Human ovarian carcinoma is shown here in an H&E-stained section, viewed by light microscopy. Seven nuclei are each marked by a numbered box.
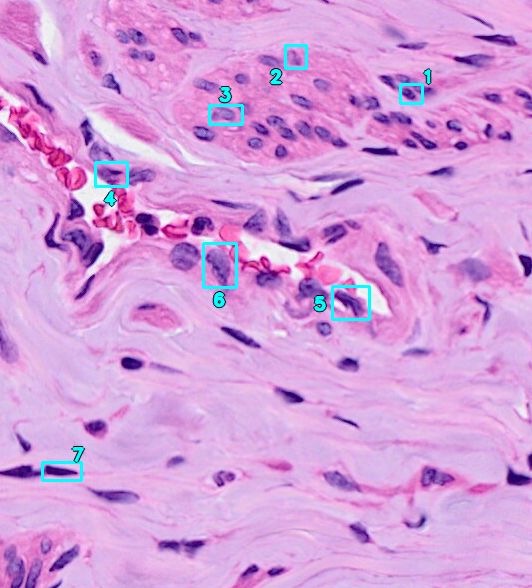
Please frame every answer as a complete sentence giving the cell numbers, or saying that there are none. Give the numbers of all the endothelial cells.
On this slide, the cells numbered 4, 5 and 6 are endothelial cells.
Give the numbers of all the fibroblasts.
The one cell that is a fibroblast is cell 7, and no other.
